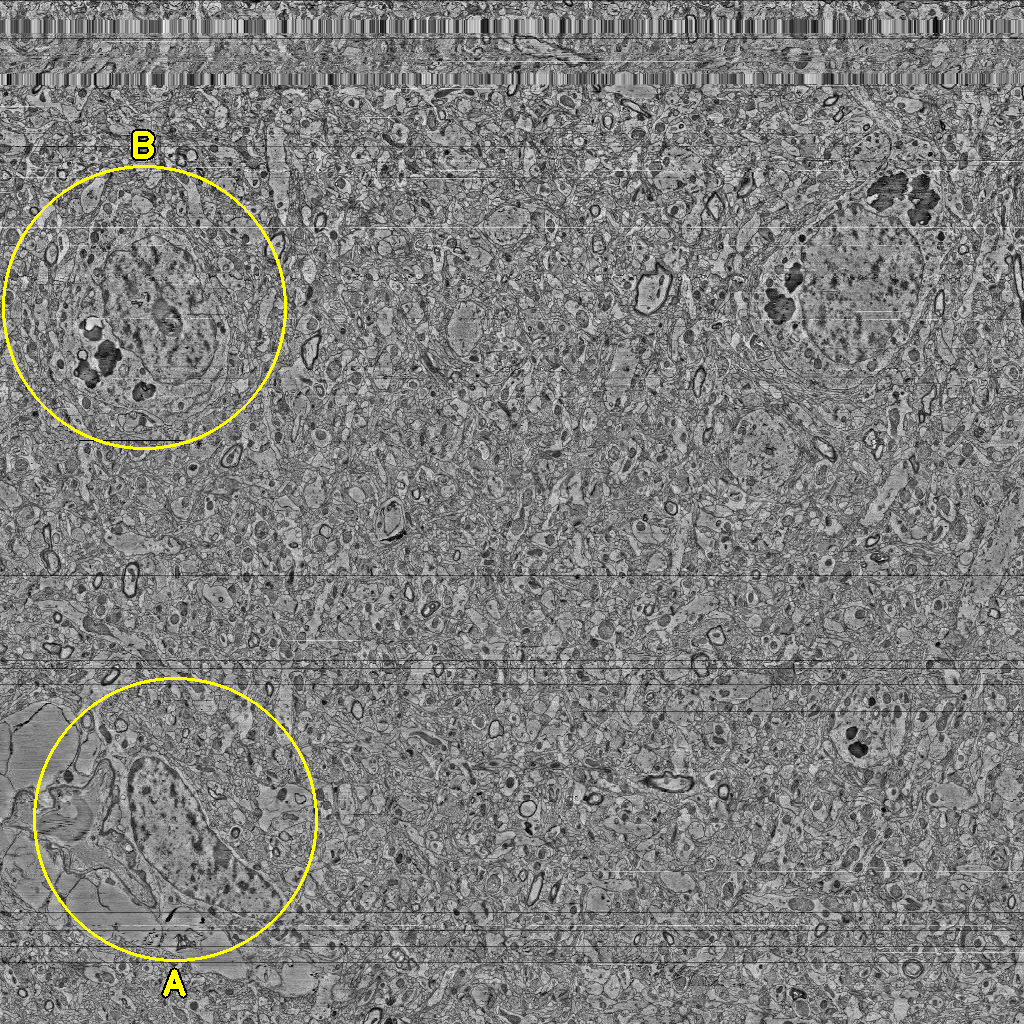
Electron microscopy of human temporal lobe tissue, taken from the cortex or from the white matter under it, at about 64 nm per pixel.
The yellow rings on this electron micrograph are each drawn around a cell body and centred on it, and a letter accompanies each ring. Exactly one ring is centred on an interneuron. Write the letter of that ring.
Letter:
B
